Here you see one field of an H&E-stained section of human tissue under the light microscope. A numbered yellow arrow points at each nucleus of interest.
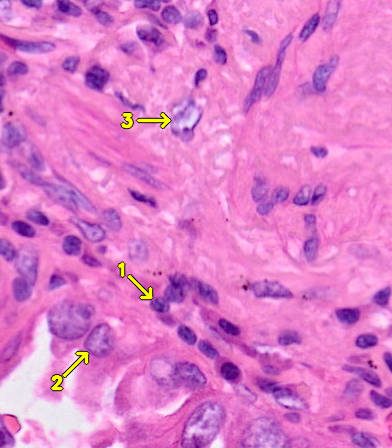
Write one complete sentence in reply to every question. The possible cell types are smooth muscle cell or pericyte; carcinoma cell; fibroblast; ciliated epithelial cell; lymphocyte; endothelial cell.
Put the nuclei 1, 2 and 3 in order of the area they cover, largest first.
Largest first, the order by area is 3, 2, 1.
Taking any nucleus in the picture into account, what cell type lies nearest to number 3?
The nucleus nearest to number 3 is that of a lymphocyte.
